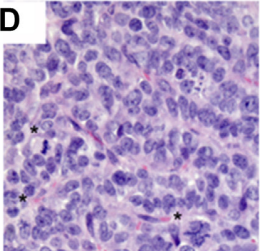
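This is a densely cellular tumor made of closely packed cells with oval to round, vesicular purple nuclei, many with a visible nucleolus, and scant pale pink cytoplasm. The cells lie in sheets with little stroma between them, crossed by thin capillaries holding bright red blood cells. Scattered among them are several mitotic figures, cells whose chromatin is condensed into dark irregular masses.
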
